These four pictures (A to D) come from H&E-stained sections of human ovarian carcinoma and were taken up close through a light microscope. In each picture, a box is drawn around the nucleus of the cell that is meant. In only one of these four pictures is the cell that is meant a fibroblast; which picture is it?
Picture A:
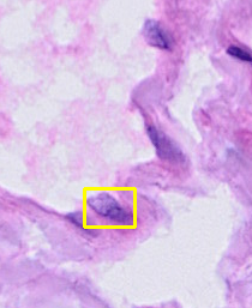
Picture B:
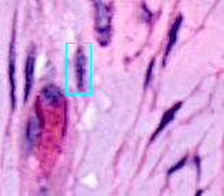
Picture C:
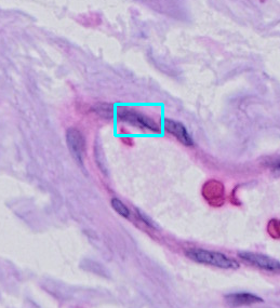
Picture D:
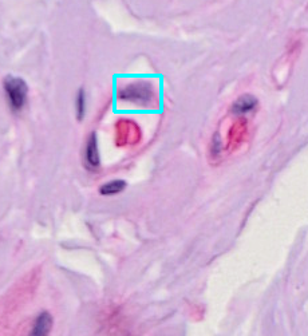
B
